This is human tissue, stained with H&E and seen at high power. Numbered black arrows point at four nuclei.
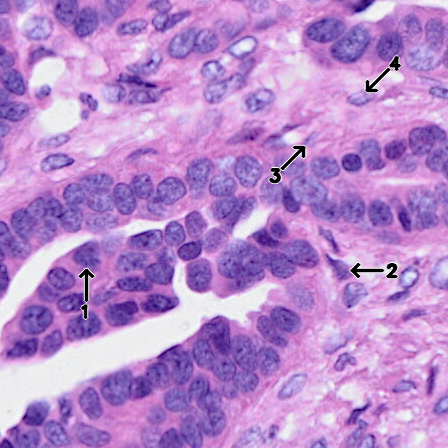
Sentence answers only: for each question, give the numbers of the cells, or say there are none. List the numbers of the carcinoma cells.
Unlike the other numbered cells, cell 1 is a carcinoma cell.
